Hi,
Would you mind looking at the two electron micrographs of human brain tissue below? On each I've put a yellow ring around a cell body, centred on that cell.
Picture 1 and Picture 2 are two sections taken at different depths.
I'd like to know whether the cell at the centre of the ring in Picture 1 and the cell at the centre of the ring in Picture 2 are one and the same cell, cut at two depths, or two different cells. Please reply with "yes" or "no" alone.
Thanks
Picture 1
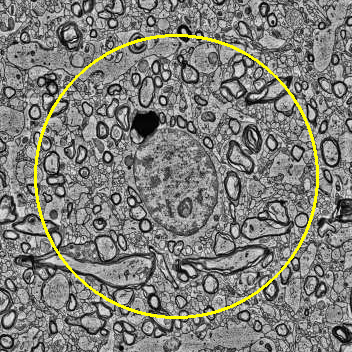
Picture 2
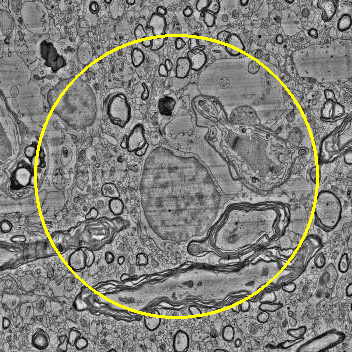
no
